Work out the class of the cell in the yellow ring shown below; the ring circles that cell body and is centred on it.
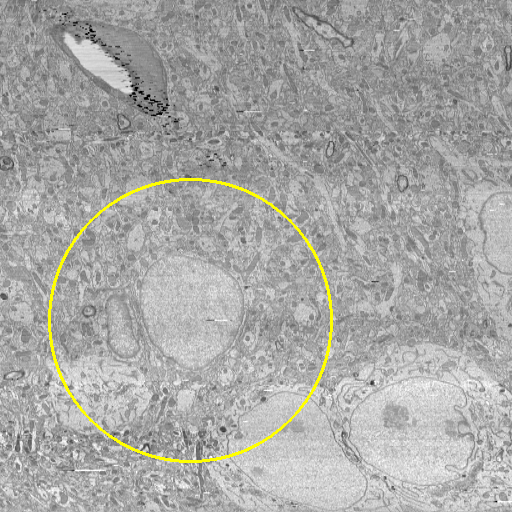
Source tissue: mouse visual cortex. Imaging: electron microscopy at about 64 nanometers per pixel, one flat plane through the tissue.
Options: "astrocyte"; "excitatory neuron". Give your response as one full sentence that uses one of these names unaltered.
The body ringed in yellow, right at the ring's centre, is that of an astrocyte.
